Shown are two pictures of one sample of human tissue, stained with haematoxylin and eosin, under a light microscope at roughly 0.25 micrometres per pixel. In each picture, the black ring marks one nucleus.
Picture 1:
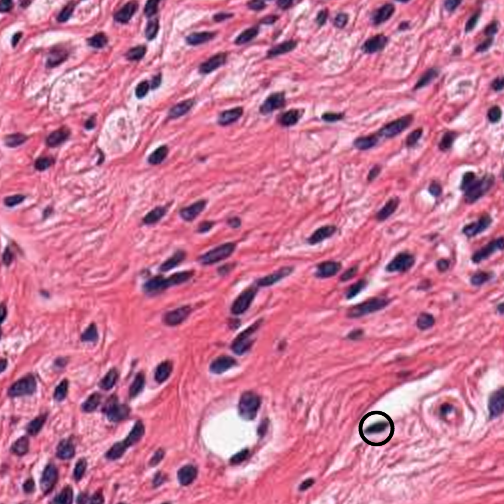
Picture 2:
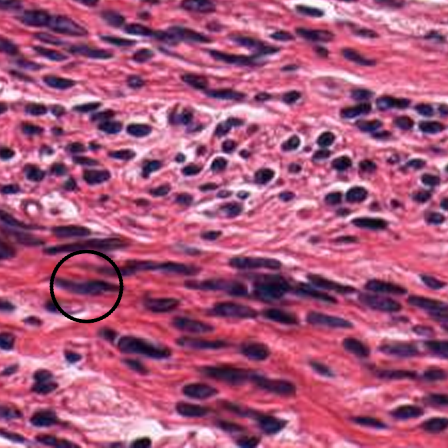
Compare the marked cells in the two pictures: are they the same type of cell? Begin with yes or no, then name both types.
No, the first is an endothelial cell and the second a smooth muscle cell.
